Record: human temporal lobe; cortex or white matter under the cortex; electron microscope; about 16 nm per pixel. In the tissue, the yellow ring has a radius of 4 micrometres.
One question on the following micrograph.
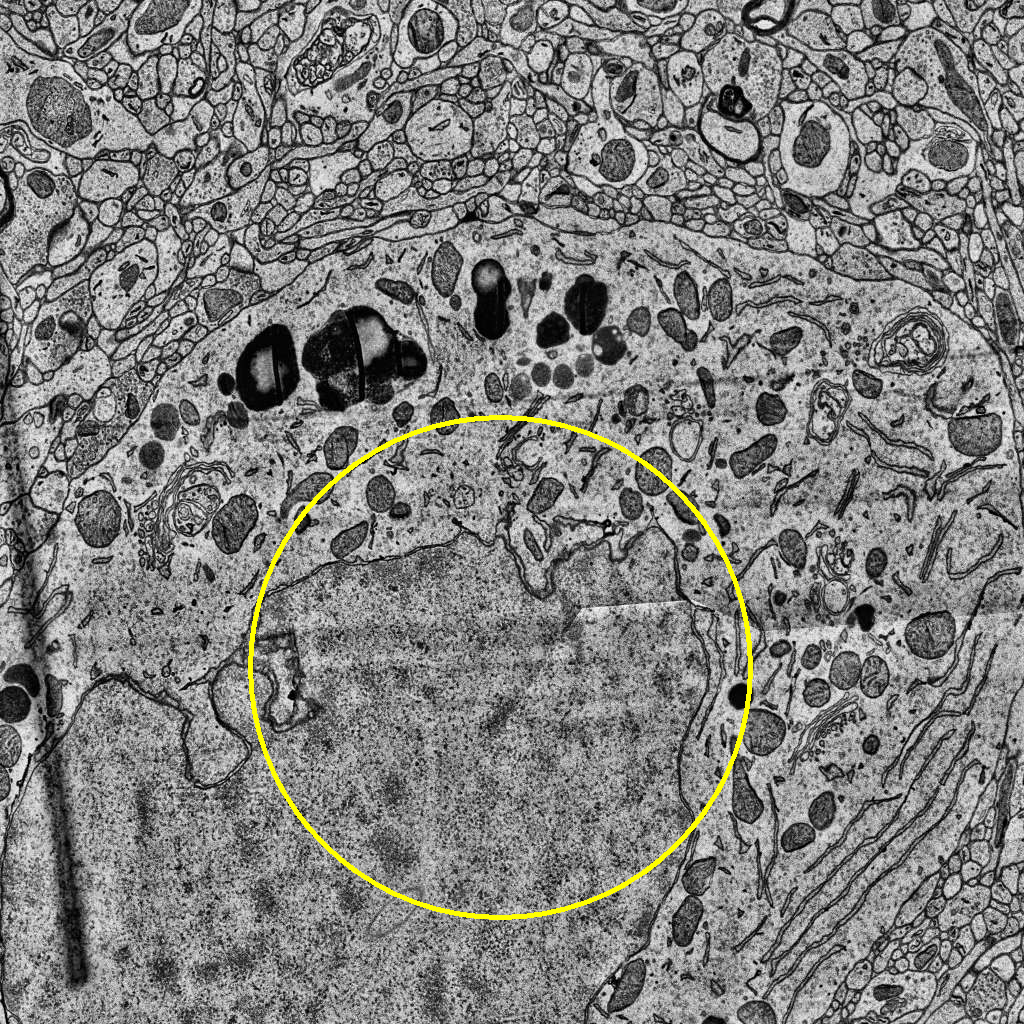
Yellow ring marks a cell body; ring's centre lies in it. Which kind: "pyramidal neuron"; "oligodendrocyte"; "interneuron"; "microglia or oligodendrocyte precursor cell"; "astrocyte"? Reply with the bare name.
interneuron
